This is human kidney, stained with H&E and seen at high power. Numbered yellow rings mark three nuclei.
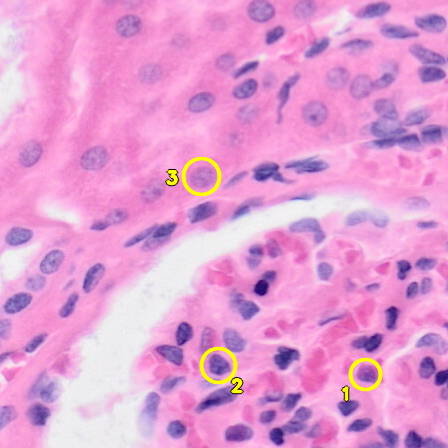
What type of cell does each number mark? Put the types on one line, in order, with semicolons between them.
endothelial cell; endothelial cell; proximal tubule cell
